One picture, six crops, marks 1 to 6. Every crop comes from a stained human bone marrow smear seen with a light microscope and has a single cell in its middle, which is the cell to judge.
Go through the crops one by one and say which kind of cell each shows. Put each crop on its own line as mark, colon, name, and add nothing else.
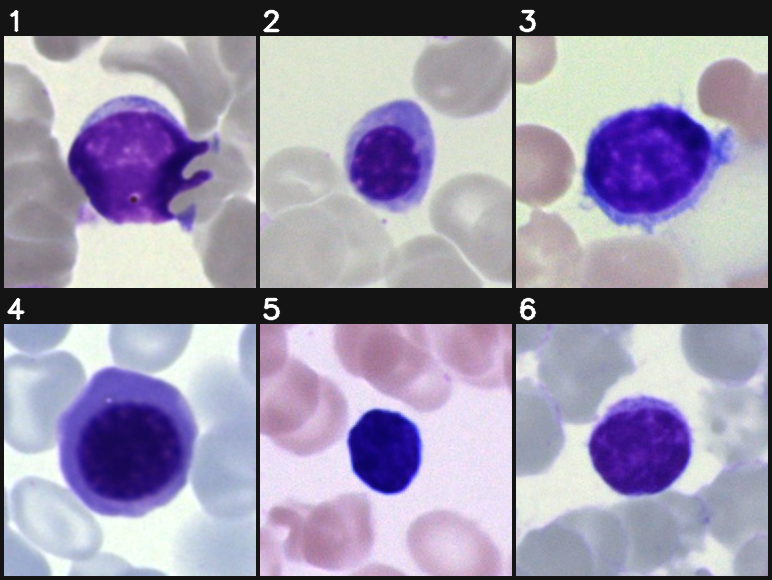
1: lymphocyte
2: erythroblast
3: lymphocyte
4: erythroblast
5: lymphocyte
6: lymphocyte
